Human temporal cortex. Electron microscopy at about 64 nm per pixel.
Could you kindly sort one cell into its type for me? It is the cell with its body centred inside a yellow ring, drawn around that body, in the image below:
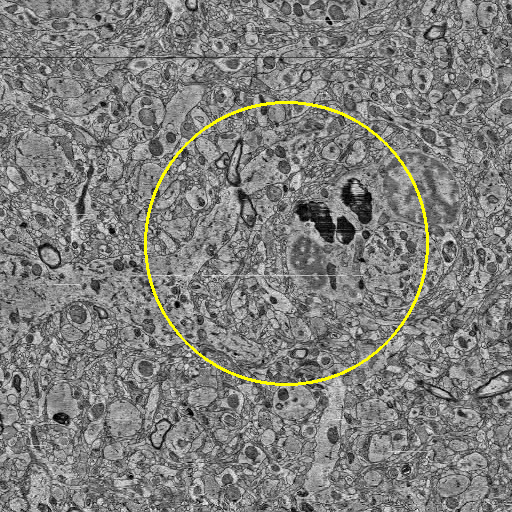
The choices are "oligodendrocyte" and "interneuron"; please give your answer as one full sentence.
The cell whose body lies centred in the yellow ring here is an oligodendrocyte.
